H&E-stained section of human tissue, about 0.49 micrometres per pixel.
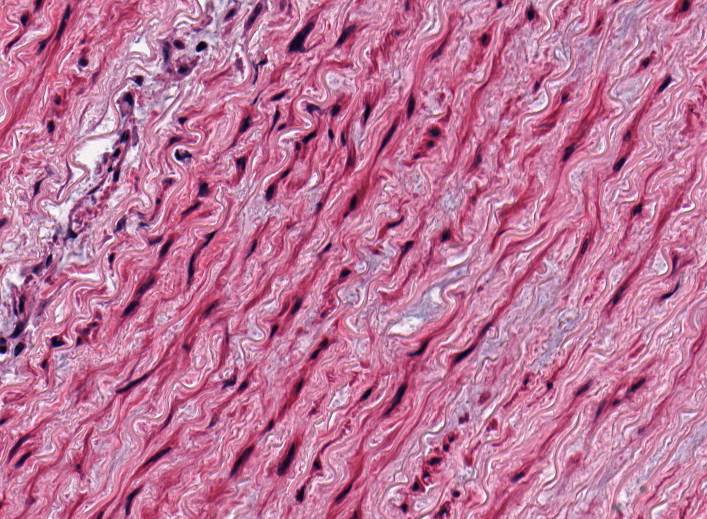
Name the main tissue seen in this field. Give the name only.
tunica media of an artery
